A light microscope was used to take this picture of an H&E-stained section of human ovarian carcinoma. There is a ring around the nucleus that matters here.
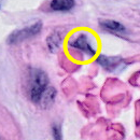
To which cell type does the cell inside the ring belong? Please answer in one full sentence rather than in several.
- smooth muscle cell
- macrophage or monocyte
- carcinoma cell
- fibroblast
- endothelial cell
Typologically, the cell inside the ring is an endothelial cell in this section.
